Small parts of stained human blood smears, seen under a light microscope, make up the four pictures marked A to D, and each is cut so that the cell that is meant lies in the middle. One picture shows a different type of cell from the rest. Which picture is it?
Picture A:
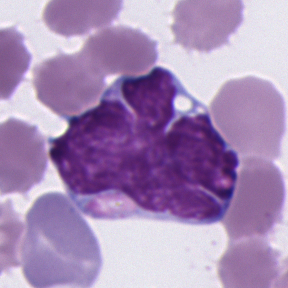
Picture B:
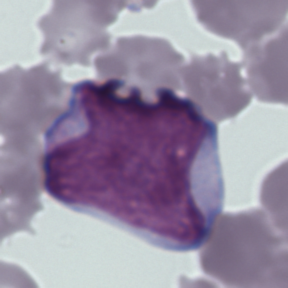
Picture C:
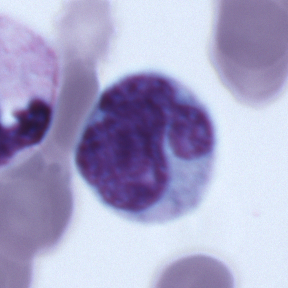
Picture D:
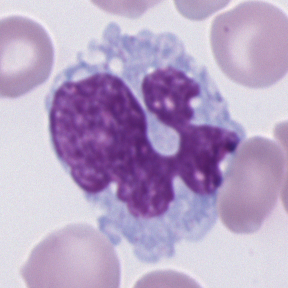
B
